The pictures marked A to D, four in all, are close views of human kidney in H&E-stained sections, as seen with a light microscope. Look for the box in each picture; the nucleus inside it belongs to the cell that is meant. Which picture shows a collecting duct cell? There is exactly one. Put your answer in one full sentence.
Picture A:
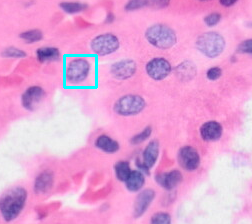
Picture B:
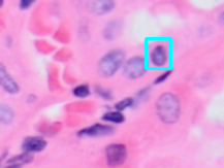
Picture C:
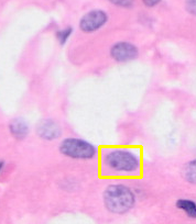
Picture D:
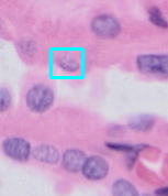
Picture B is the one that shows the collecting duct cell.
